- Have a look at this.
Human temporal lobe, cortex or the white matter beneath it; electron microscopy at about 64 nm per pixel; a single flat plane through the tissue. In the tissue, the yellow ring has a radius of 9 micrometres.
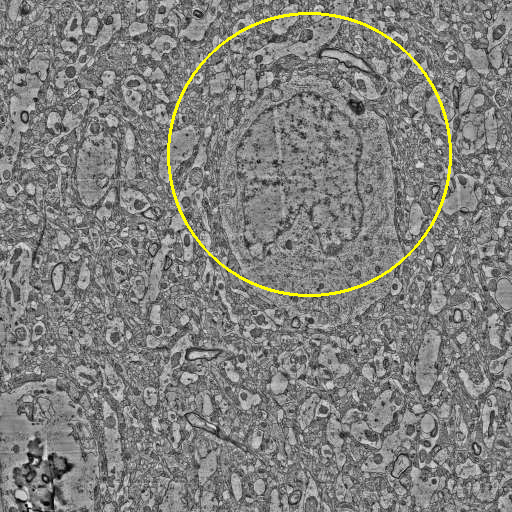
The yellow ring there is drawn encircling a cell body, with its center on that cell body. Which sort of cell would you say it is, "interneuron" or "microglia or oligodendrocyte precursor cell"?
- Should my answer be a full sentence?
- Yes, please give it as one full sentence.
For this picture, an interneuron is the cell where the yellow ring has its center.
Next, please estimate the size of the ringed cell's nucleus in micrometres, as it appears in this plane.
Roughly 11 micrometres by 8 micrometres, in this plane.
